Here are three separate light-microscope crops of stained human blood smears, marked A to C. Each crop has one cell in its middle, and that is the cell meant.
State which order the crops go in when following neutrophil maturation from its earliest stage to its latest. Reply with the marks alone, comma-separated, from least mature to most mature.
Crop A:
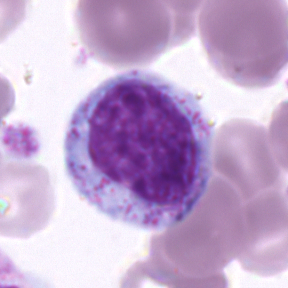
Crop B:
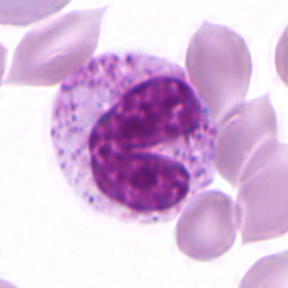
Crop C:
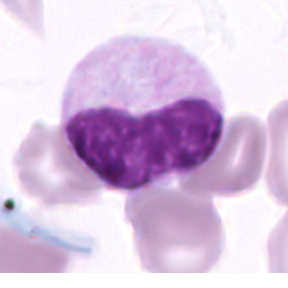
A, C, B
